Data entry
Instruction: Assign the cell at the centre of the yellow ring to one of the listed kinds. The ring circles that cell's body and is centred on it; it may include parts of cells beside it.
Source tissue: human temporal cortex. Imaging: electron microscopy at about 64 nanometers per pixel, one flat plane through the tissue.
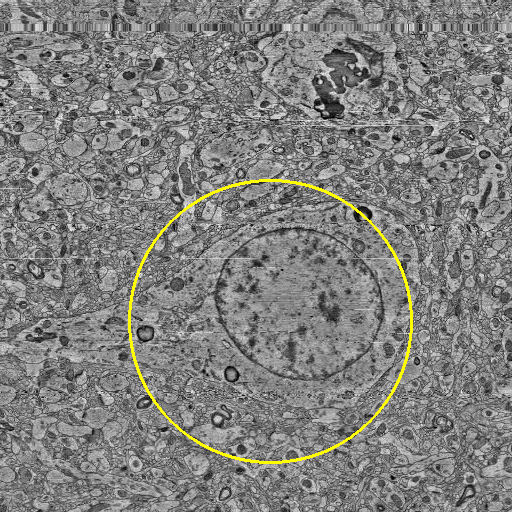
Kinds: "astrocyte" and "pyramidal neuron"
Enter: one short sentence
The centre of the ring falls on a pyramidal neuron.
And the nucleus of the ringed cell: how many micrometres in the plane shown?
Approximately 10 micrometers across in this plane.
